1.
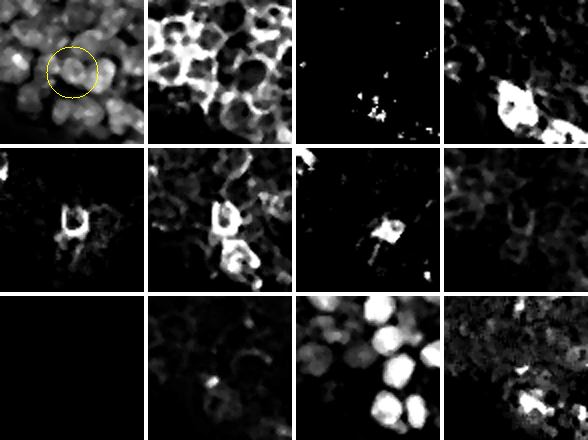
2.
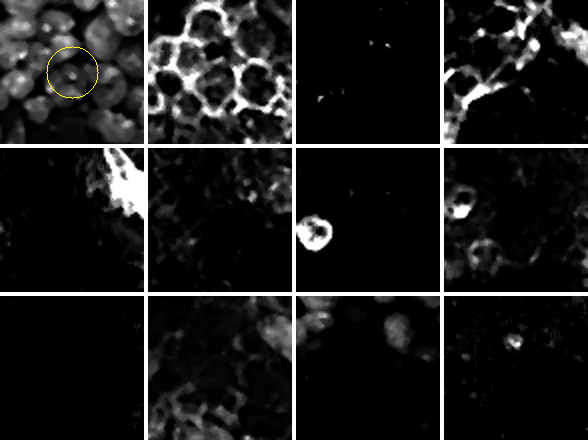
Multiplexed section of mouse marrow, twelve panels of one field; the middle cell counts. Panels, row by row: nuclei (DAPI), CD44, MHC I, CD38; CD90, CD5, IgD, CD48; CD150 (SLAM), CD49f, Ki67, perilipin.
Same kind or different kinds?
Different: the first is a T cell, the second a neutrophil.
